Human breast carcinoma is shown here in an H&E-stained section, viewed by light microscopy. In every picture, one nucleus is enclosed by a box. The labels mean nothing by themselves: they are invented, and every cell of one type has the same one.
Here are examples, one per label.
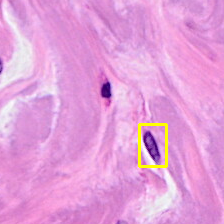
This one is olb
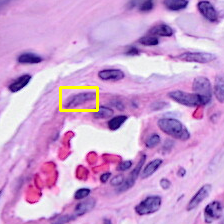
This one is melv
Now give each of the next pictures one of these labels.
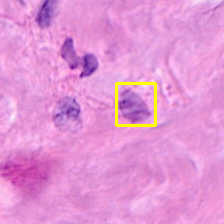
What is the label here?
olb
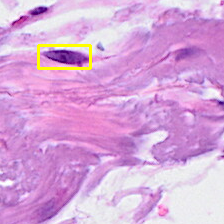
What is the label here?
olb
